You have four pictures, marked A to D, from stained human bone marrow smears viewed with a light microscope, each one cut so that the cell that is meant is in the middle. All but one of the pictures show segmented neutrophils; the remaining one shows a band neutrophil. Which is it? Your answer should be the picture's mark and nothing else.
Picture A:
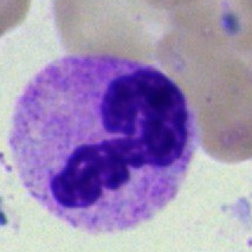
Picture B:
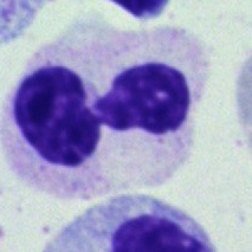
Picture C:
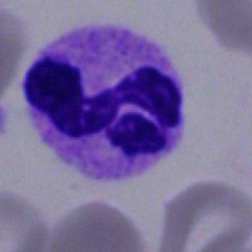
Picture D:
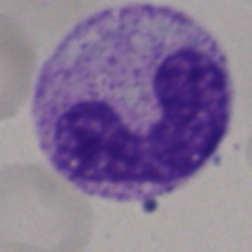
D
